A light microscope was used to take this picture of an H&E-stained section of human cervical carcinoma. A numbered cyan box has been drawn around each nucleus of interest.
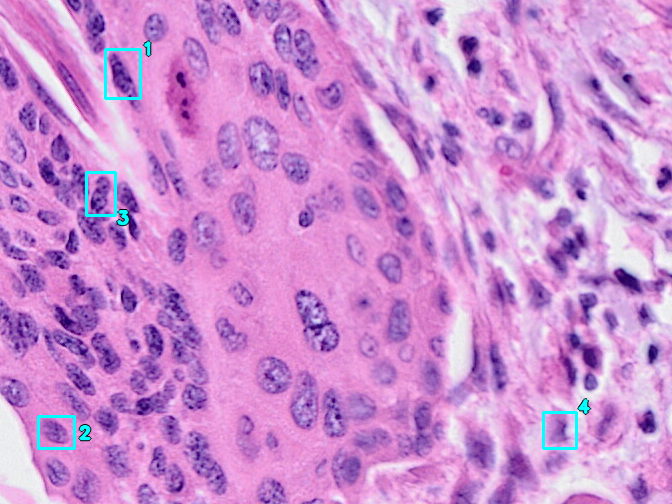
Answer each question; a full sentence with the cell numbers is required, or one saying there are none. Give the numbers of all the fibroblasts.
Only one marked cell, number 4, is a fibroblast.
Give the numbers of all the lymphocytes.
Concerning the numbered cells, no lymphocytes are among them.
